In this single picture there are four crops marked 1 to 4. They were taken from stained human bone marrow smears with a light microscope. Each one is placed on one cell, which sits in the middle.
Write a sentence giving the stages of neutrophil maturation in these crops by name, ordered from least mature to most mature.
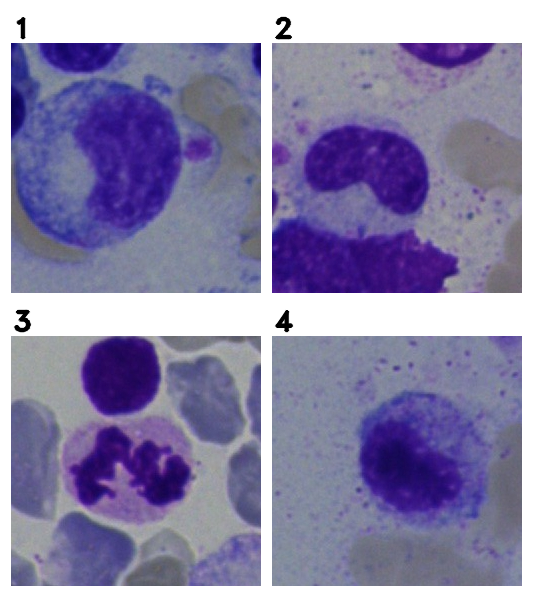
Least to most mature, the crops are crop 4 (a myelocyte), crop 1 (a metamyelocyte), crop 2 (a band neutrophil) and crop 3 (a segmented neutrophil).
